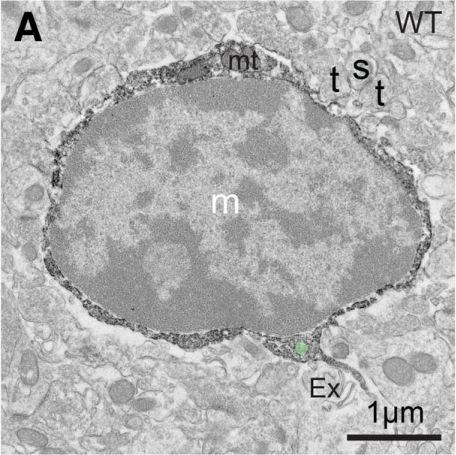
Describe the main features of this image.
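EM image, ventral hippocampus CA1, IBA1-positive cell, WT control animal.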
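An electron micrograph of a single oval microglial cell body lying in the neuropil. A large oval nucleus fills almost the whole cell; its chromatin is pale with many irregular dark clumps scattered through it and along the nuclear envelope. The cytoplasm forms only a thin, dark, electron-dense rim around the nucleus, slightly thicker at the top where an organelle sits. At the lower pole the rim tapers into a short thin extension beside a small pale pocket of extracellular space. All around lie cross-sectioned neuronal profiles of the neuropil, with small axon terminals and dendritic spines close to the upper edge of the cell.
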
